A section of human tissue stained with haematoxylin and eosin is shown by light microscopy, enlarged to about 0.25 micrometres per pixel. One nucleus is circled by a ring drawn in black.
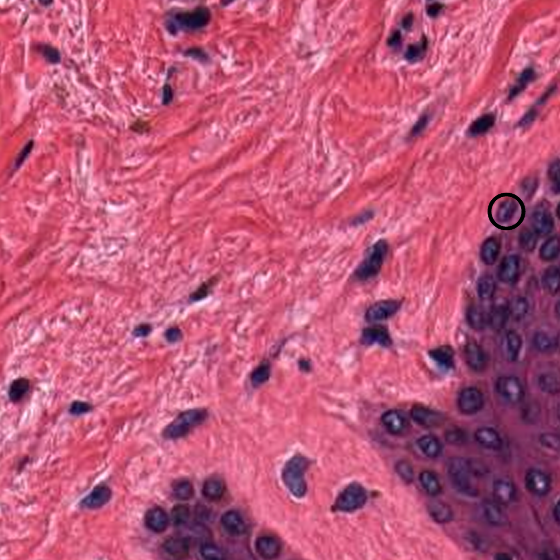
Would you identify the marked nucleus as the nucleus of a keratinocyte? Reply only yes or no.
yes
